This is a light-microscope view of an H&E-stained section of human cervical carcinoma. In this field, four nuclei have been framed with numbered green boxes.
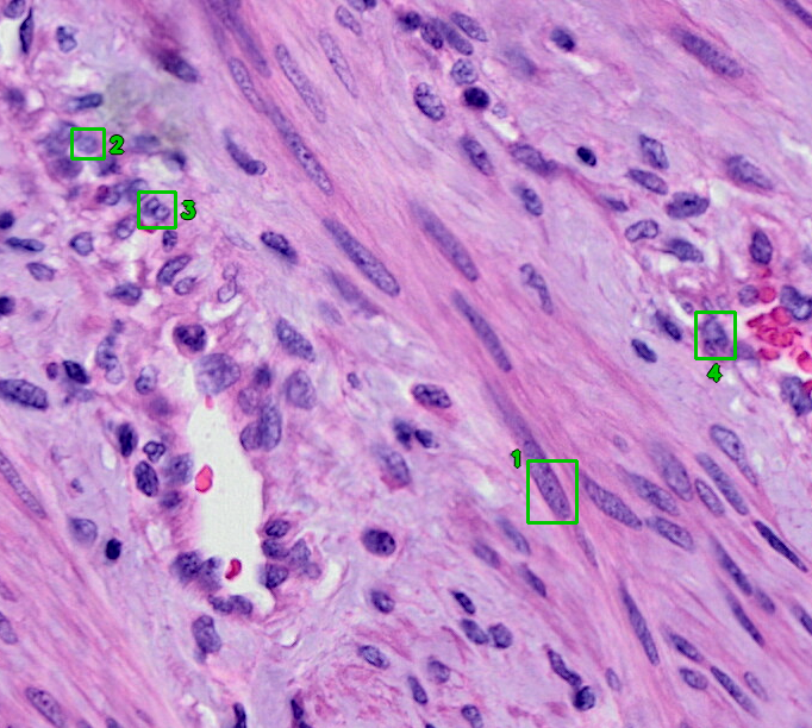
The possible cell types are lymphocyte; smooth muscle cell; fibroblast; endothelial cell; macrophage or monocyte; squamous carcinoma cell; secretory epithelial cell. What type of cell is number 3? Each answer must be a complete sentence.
In the tissue shown, cell 3 is an endothelial cell.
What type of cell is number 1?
Identified as a smooth muscle cell is the cell bearing the number 1.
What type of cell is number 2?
The cell assigned the number 2 is an endothelial cell.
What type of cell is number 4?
The nucleus with number 4 is that of an endothelial cell.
